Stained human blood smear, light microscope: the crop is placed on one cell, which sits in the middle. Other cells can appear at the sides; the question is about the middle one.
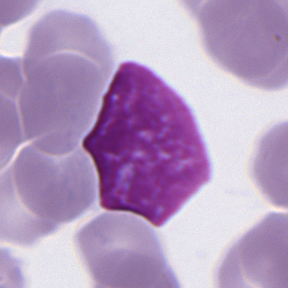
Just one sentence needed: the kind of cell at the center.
Here the cell in the middle is a smudge cell.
